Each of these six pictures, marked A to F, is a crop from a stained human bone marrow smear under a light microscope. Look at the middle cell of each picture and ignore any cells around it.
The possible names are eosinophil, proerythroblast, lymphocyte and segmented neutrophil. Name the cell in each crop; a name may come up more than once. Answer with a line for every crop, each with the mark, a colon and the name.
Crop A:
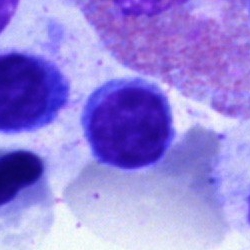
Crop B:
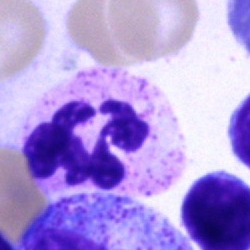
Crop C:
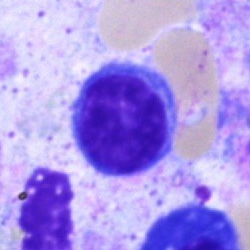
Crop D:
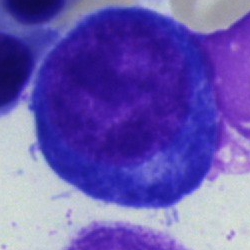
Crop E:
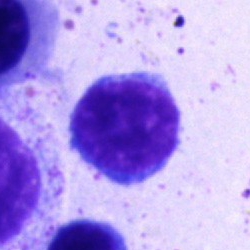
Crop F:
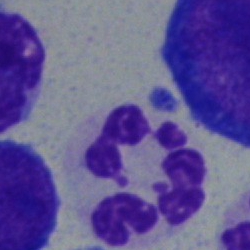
A: lymphocyte
B: segmented neutrophil
C: lymphocyte
D: proerythroblast
E: lymphocyte
F: segmented neutrophil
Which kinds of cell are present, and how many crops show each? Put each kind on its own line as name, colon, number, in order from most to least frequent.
lymphocyte: 3
segmented neutrophil: 2
proerythroblast: 1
